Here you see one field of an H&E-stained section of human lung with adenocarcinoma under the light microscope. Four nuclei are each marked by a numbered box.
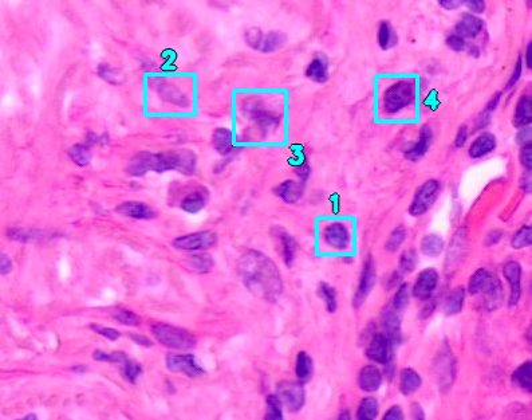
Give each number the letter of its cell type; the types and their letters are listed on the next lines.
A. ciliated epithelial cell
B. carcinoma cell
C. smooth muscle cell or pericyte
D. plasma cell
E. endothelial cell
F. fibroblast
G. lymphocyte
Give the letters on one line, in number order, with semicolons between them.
G; C; F; D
